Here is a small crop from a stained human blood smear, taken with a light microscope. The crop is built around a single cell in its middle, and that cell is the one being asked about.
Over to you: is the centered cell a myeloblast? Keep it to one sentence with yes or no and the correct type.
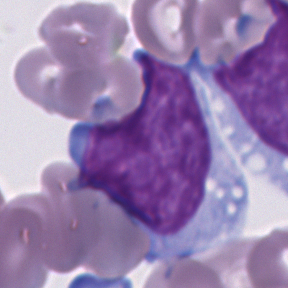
Yes, the cell found at the centre of the crop is a myeloblast.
